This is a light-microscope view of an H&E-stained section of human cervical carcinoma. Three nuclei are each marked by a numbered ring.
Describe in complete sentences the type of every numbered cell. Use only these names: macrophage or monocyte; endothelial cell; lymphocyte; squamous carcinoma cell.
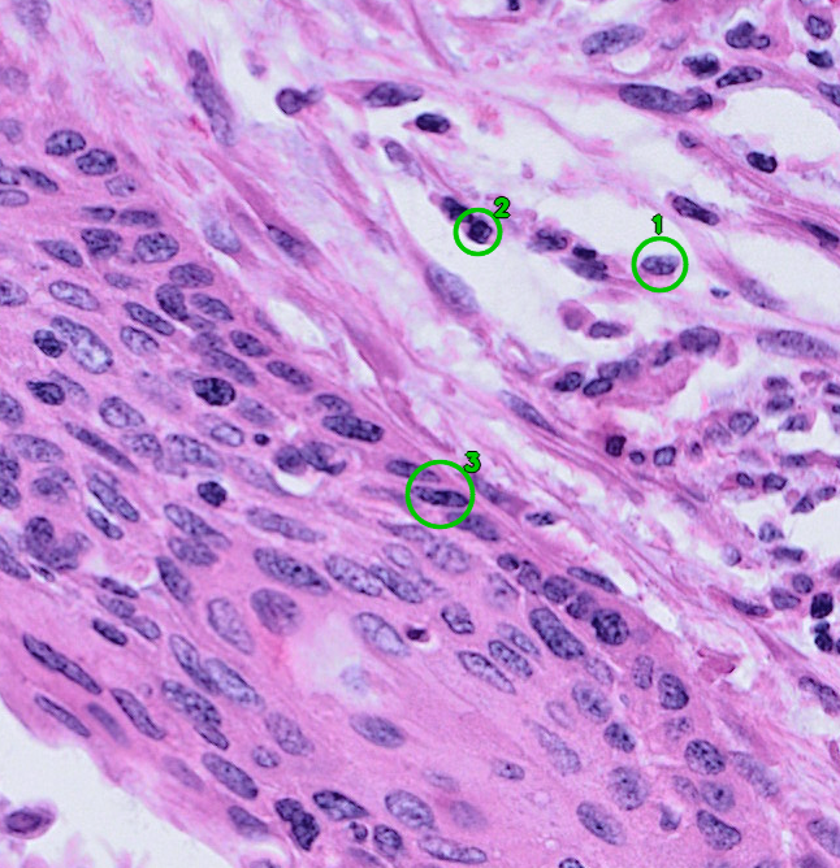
Cells 1 and 2 are lymphocytes. Cell 3 is a squamous carcinoma cell.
